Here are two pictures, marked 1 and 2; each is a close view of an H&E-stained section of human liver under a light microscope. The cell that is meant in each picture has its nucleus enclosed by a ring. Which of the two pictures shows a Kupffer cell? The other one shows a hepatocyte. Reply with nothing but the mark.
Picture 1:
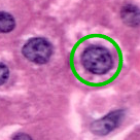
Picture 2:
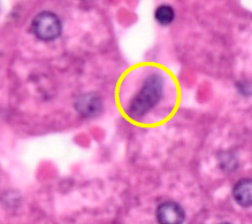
2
